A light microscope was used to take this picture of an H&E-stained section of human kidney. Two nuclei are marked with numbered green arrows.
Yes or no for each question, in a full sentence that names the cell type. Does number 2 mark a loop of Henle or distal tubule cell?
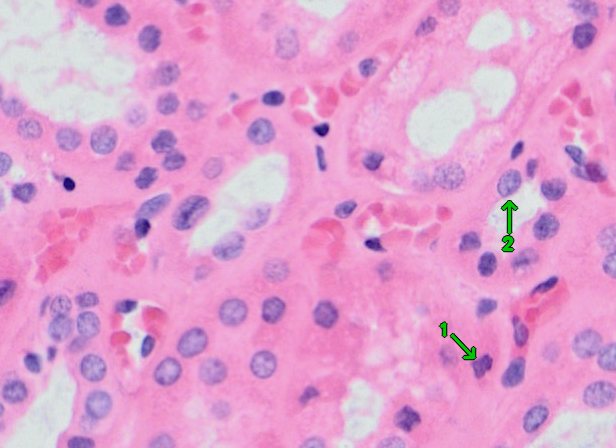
Yes, the numbered cell 2 is a loop of Henle or distal tubule cell.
